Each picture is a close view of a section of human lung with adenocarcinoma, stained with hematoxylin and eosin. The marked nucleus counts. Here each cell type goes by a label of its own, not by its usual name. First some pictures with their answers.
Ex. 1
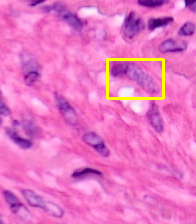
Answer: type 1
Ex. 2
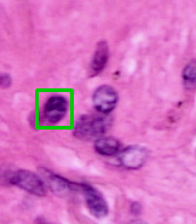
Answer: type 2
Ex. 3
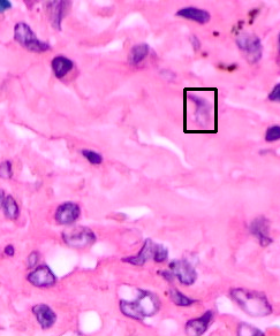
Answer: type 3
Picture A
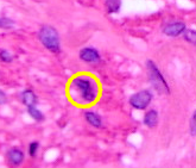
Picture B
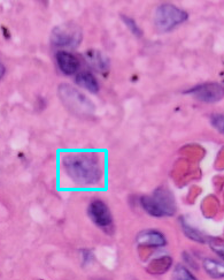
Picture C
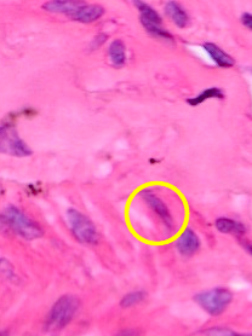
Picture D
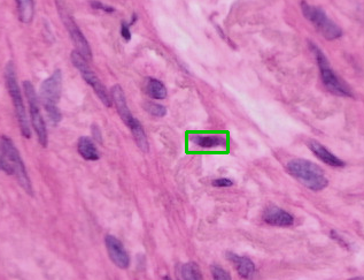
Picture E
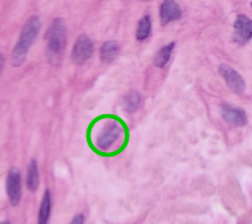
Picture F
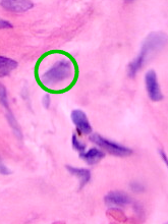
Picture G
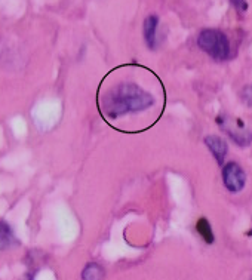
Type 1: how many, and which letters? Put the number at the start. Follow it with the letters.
4, namely A, C, D, E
